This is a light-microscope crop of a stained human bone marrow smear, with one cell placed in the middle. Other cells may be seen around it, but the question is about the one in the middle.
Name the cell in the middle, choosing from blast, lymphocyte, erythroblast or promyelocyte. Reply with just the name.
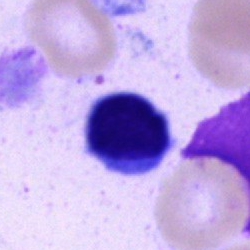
lymphocyte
